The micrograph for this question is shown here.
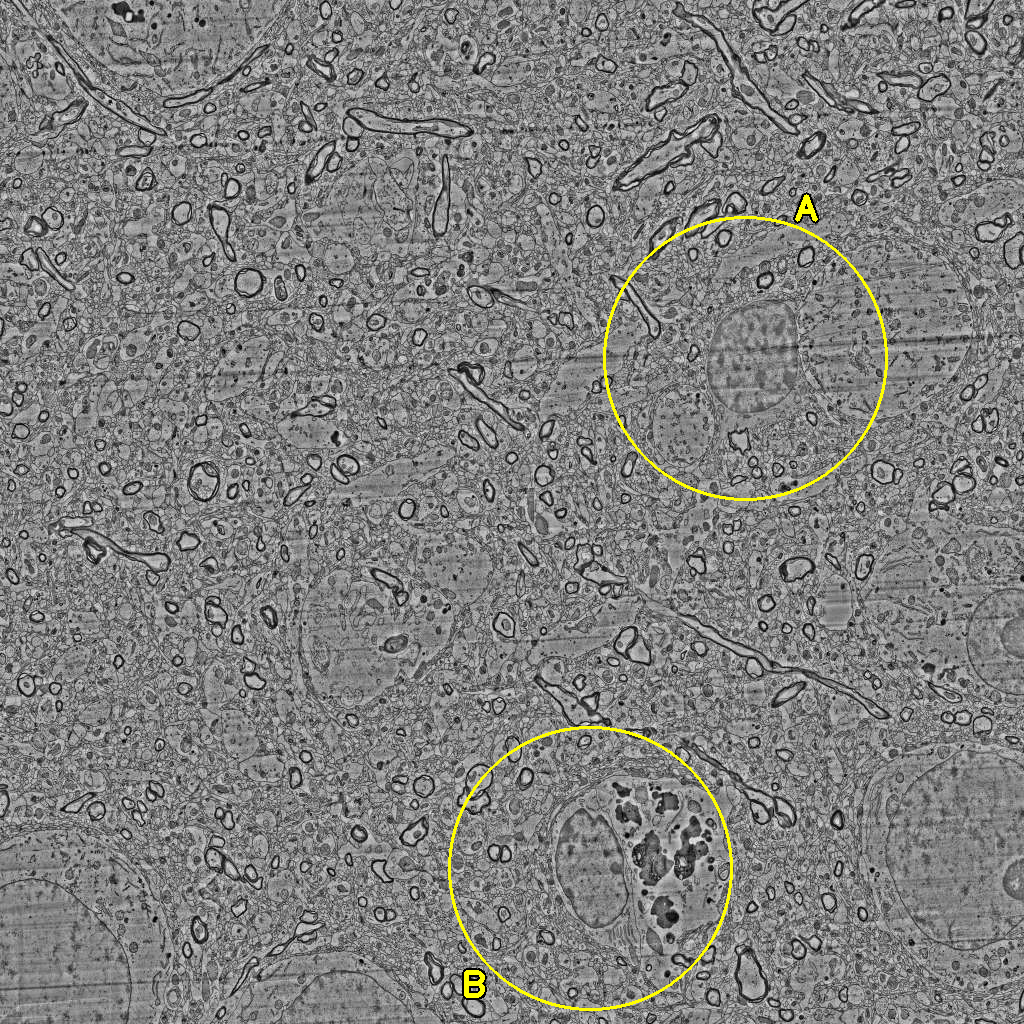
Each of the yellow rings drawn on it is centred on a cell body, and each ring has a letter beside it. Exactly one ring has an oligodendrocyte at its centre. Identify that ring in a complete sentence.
The ring centred on it is ring A.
